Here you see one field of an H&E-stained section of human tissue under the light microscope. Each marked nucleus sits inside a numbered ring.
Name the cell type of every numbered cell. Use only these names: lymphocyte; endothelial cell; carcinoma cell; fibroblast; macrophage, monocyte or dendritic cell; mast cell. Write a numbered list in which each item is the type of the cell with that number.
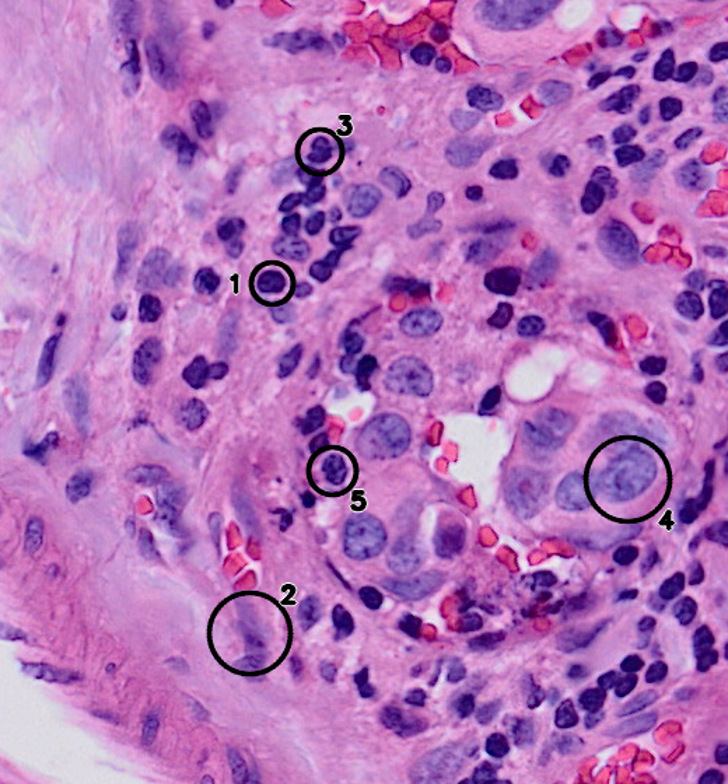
1. lymphocyte
2. fibroblast
3. lymphocyte
4. carcinoma cell
5. lymphocyte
